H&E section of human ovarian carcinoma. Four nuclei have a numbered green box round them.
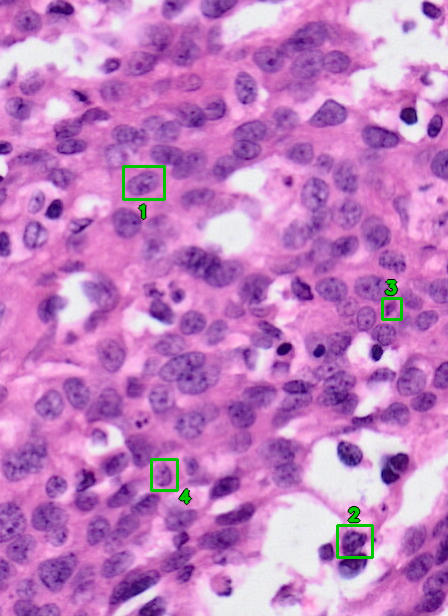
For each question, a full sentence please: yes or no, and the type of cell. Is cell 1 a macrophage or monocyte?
No, the marked cell 1 is not a macrophage or monocyte, being instead a carcinoma cell.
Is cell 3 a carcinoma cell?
Yes, the cell labelled with number 3 is a carcinoma cell.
